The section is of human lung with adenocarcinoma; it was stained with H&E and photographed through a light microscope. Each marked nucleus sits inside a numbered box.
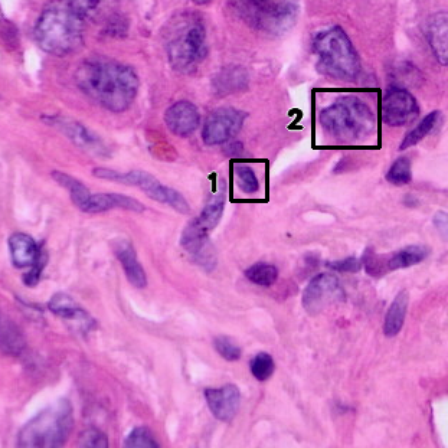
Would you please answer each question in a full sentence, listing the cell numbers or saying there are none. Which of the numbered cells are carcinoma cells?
Exactly one numbered cell is a carcinoma cell, and that cell is number 2.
